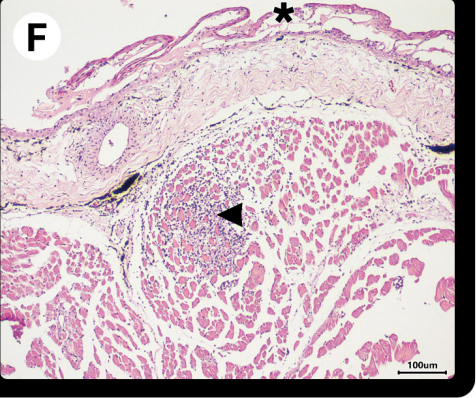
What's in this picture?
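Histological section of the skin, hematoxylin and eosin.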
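At the top a thin, pale pink surface layer runs in wavy folds and loops, lifted away with clear spaces within it, over a loose, pale dermis holding a small round vessel. Below lie pink bundles of skeletal muscle fibers cut across, separated by thin pale septa. Among these fibers sits a dense cluster of small dark-purple nuclei that crowds out the pink fibers. This reads as a vacuolated epidermis with vesicles above and an inflammatory infiltrate within the muscle tissue.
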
